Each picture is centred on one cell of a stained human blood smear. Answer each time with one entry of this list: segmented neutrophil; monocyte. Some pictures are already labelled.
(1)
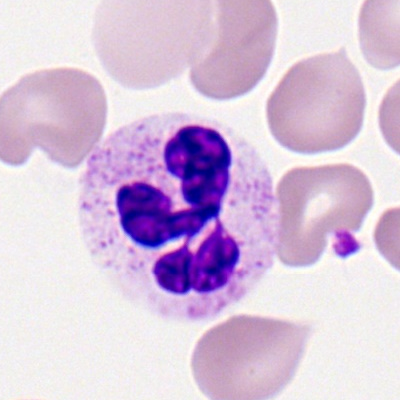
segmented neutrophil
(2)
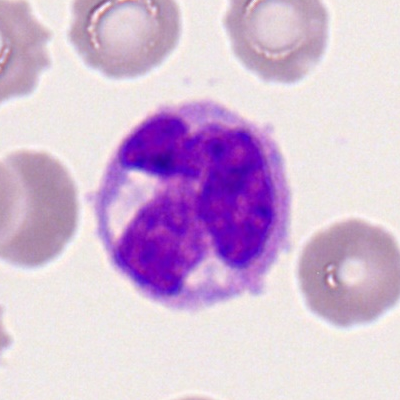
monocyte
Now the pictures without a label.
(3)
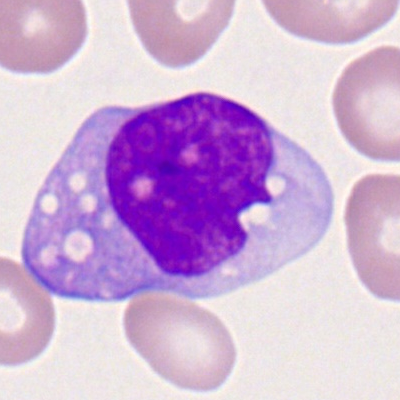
monocyte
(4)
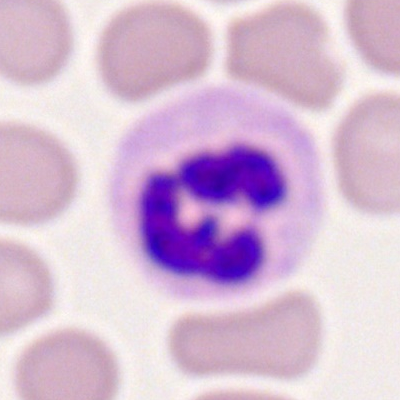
segmented neutrophil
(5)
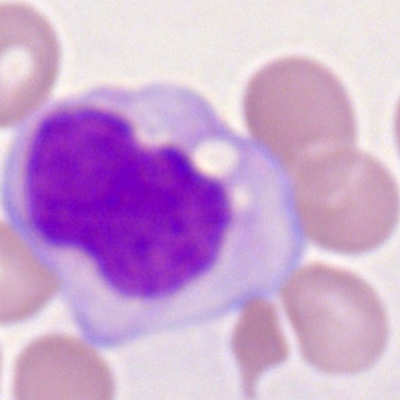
monocyte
